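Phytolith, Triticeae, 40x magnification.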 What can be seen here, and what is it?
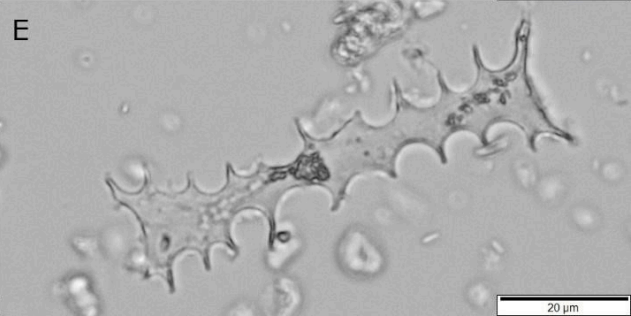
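A single thin, transparent, glassy body lies across the field, many times longer than it is wide. A little granular debris clings to the surface near the middle, and small rounded particles are scattered around it.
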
